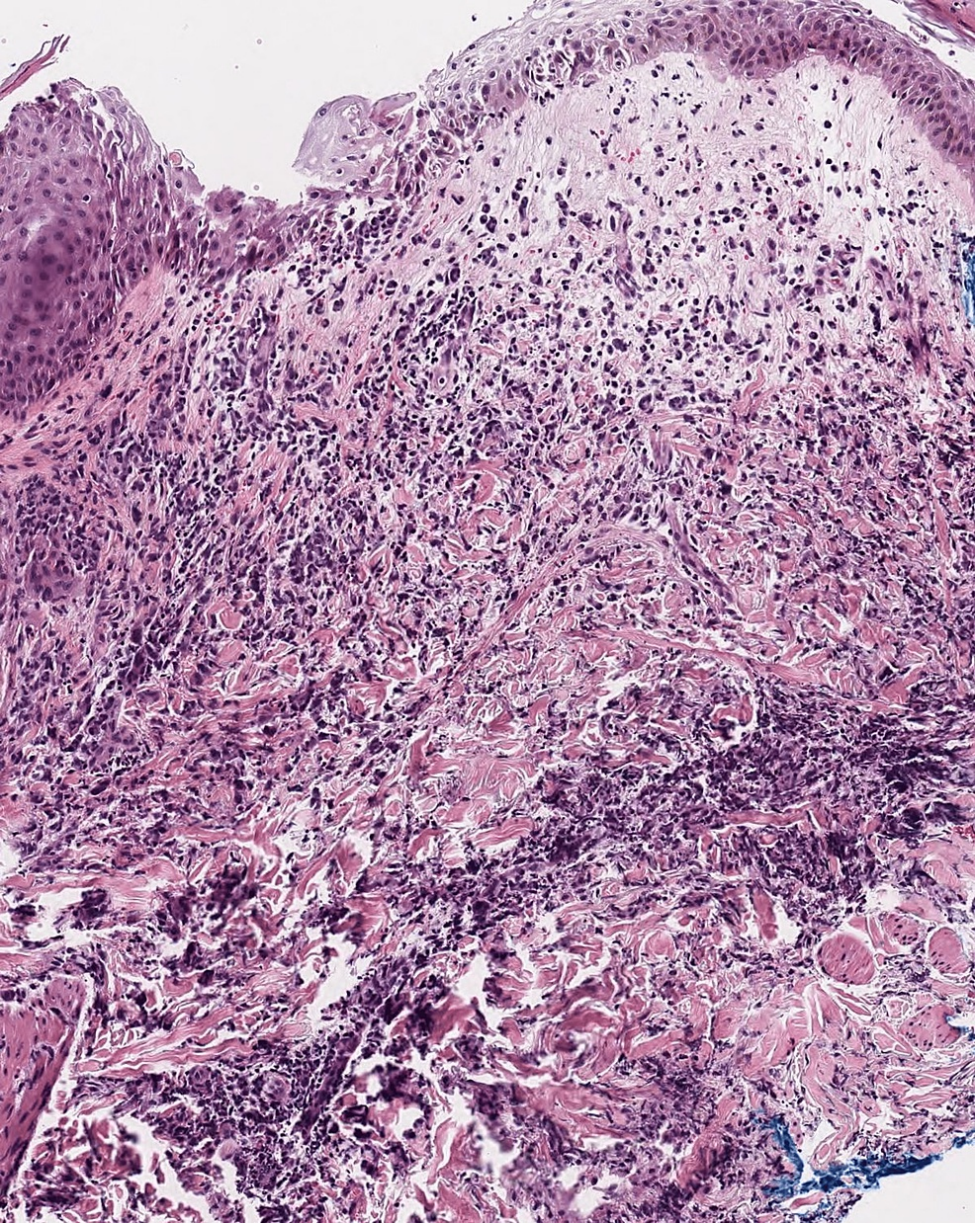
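This is skin, with the stratified squamous epidermis running across the top and the dermis filling the rest of the field. Directly beneath the epidermis the upper dermis is strikingly pale and loose, and its cells are spread far apart in a washed-out pink background, the appearance of marked swelling of the papillary dermis. Below this band a dense infiltrate of inflammatory cells with small dark purple nuclei crowds between the pink collagen bundles. The infiltrate continues all the way down to the deepest part of the specimen, where it clusters densely around and among the collagen.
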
